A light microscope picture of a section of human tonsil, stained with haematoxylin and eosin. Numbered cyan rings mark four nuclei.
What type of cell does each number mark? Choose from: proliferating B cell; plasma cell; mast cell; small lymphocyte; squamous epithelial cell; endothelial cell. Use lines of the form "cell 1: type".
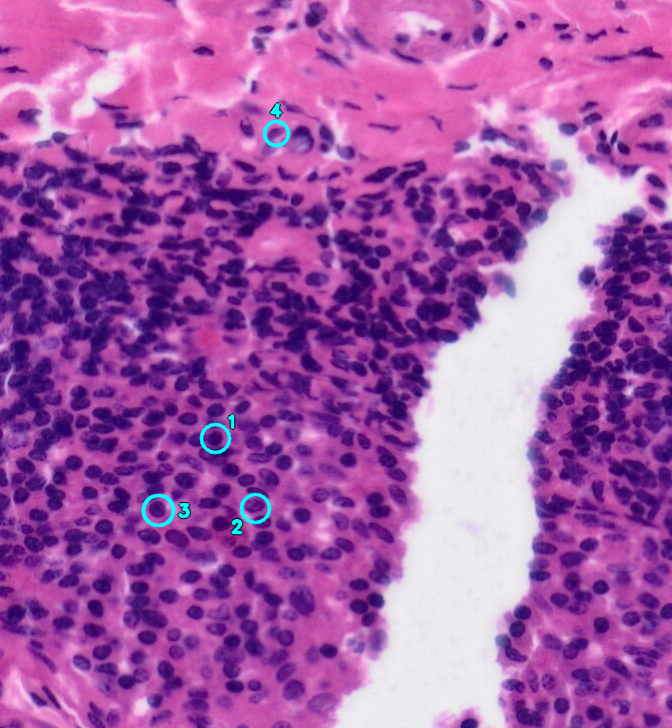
cell 1: plasma cell
cell 2: plasma cell
cell 3: plasma cell
cell 4: endothelial cell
